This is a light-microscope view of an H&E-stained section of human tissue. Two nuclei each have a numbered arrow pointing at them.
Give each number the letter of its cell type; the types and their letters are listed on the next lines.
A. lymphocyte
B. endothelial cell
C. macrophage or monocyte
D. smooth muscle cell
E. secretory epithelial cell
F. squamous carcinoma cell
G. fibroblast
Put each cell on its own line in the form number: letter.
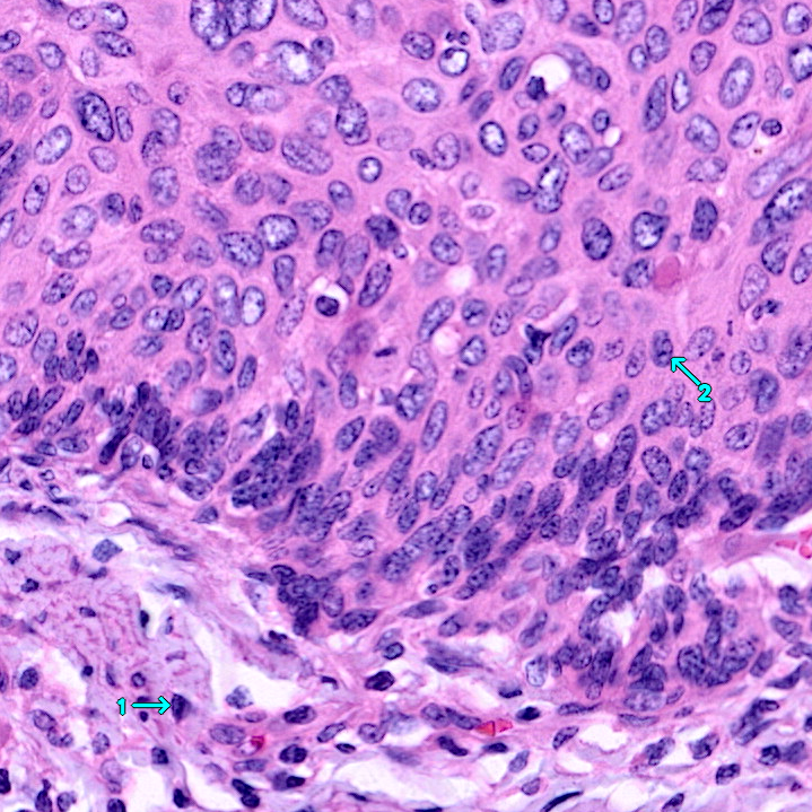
1: A
2: F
